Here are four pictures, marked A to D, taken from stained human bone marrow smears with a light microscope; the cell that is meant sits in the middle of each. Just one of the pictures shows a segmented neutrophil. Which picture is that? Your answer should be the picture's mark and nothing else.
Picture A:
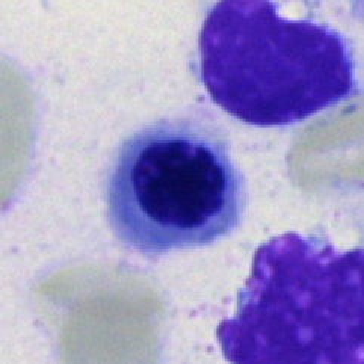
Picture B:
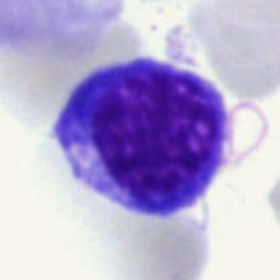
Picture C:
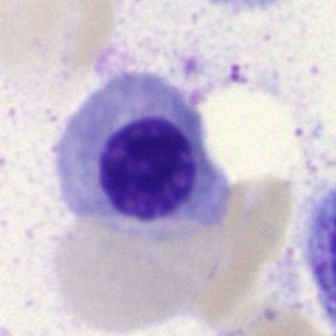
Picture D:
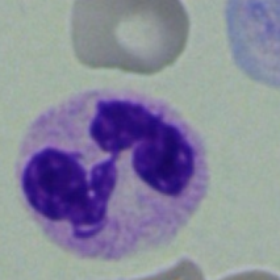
D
